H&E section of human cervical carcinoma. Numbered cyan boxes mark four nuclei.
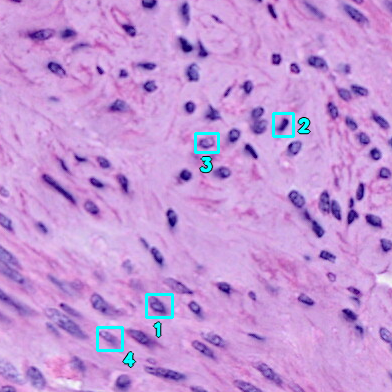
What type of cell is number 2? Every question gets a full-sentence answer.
The marked cell with the number 2 is recognised as a fibroblast.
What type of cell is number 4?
Cell number 4 in this section is a smooth muscle cell.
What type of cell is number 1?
The cell tagged with 1 in this tissue section is a smooth muscle cell.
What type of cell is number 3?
The cell that bears the number 3 is a smooth muscle cell.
